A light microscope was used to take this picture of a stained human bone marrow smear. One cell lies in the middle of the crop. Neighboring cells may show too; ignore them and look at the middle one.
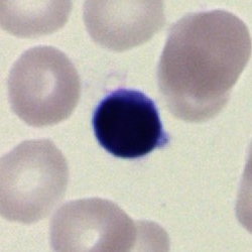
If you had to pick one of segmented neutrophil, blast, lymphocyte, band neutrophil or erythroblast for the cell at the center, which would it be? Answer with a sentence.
This crop has a lymphocyte at its centre.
